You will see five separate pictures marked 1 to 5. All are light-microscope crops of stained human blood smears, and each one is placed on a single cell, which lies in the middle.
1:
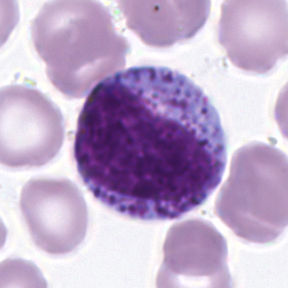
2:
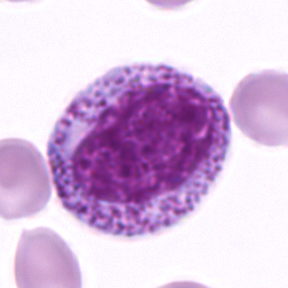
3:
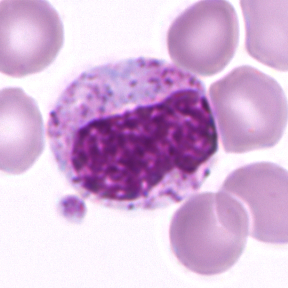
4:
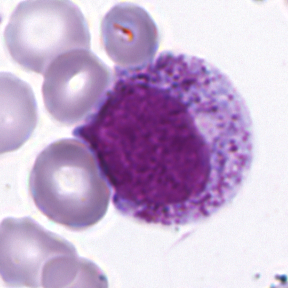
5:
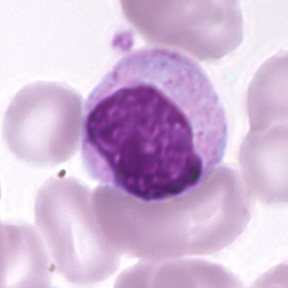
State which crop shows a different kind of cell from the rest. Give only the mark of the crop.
3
